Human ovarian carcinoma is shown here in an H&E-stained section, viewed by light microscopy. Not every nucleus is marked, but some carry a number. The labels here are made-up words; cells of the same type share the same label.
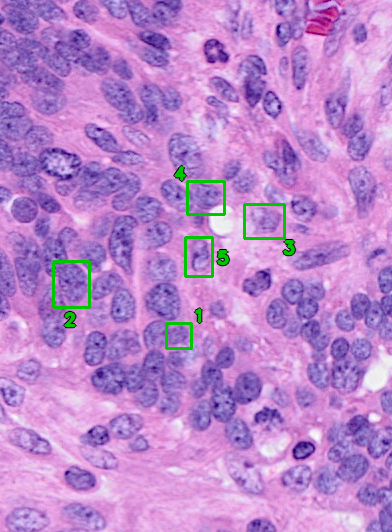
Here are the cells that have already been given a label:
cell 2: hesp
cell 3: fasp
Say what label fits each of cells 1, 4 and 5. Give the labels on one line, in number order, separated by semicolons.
hesp; hesp; fasp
